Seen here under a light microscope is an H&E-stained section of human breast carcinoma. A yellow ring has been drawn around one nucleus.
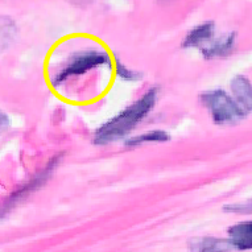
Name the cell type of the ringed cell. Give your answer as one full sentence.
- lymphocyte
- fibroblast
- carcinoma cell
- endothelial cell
This is an endothelial cell.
